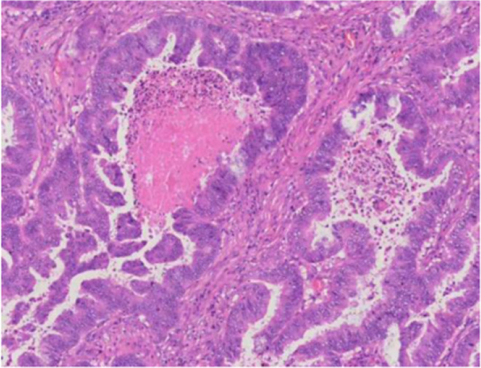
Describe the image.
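This section shows a glandular tumor made of tall columnar cells arranged in irregular acinar, sieve-like patterns. The cells have elongated, dark purple nuclei that are crowded and stacked, with scant pink cytoplasm toward the lumen. In the center of a gland the lumen is filled with pink, structureless necrotic debris containing scattered dark nuclear fragments. The glands branch and form slit-like spaces, separated by bands of pink fibrous stroma with spindle-shaped nuclei.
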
